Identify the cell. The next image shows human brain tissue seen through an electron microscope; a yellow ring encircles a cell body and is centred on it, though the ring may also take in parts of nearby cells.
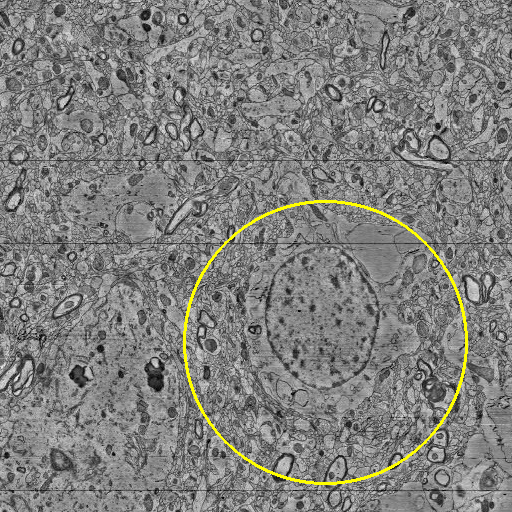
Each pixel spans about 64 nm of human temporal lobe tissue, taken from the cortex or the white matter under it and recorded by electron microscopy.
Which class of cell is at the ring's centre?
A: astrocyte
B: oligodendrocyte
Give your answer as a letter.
A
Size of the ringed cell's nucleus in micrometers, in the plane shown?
The nucleus has a long axis of about 9 micrometres and a short axis of about 7 micrometres in this plane.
